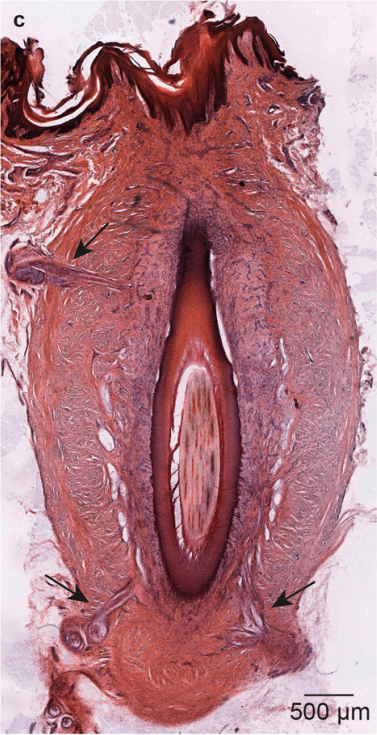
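This is a whisker follicle cut lengthwise, with the hair shaft running down its middle as a long dark red spindle with a paler, streaked core. Around the shaft lies a broad zone of pink, fibrous connective tissue with scattered purple nuclei, and the whole follicle is enclosed by a dense outer capsule. At the top the follicle opens toward the surface skin, whose outer layers are folded and dark red. At the bottom the follicle ends in a rounded mass of connective tissue beneath the base of the shaft.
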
